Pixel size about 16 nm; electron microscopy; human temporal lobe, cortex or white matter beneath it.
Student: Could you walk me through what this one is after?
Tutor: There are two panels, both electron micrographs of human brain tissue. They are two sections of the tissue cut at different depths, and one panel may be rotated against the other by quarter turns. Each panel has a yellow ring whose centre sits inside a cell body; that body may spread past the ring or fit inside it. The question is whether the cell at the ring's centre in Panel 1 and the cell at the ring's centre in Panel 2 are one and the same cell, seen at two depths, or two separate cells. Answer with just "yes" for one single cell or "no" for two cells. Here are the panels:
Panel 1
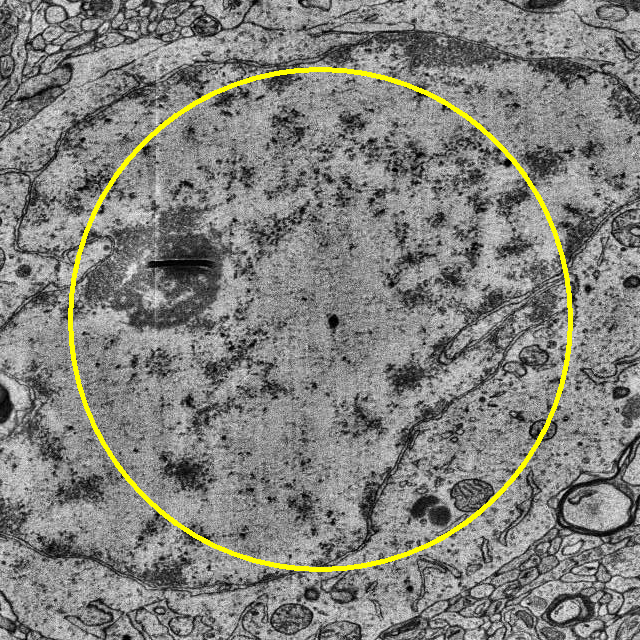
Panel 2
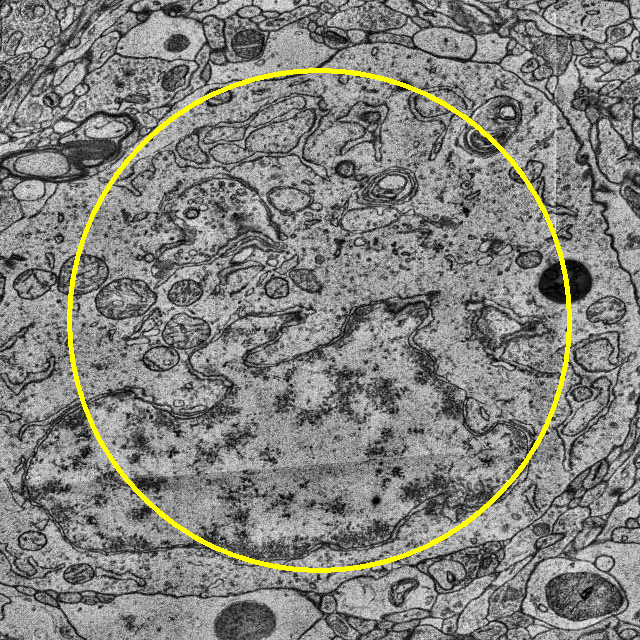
yes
